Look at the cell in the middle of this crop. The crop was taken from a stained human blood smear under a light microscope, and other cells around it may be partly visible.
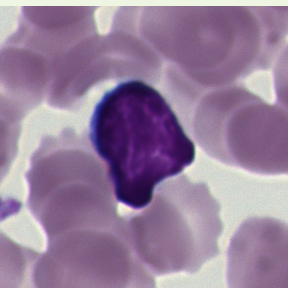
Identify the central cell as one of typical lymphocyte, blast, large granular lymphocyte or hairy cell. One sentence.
The crop centres on a single cell, and that cell is a typical lymphocyte.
